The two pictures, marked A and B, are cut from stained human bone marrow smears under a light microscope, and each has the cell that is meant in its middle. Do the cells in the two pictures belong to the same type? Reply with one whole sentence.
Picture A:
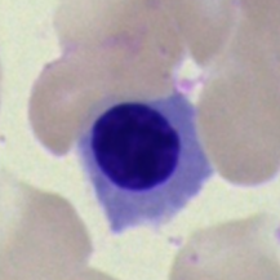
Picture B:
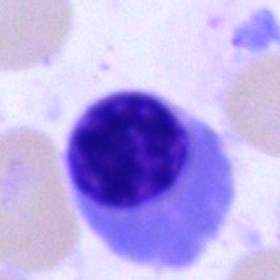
Yes, both cells are erythroblasts.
